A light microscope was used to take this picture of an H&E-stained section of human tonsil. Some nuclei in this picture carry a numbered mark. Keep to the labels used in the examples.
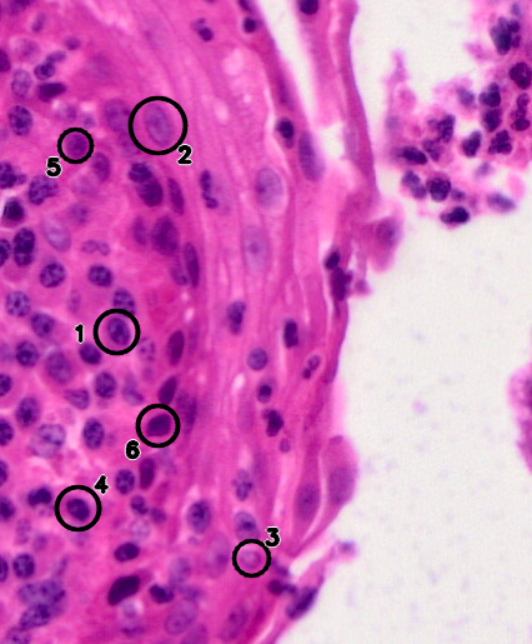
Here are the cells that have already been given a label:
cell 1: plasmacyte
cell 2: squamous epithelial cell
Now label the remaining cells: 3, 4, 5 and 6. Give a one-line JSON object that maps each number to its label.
{"3": "squamous epithelial cell", "4": "plasmacyte", "5": "squamous epithelial cell", "6": "squamous epithelial cell"}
